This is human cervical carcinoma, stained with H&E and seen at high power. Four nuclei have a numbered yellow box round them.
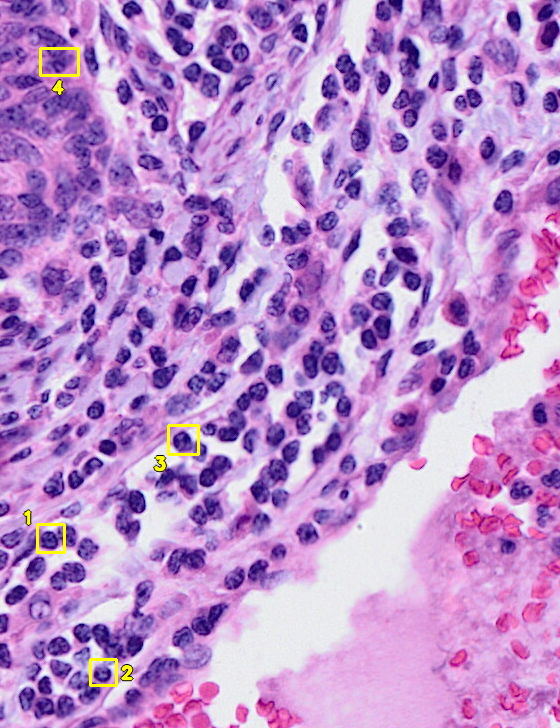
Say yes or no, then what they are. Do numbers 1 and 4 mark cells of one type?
No, cell 1 is a lymphocyte, whereas a squamous carcinoma cell is what cell 4 is.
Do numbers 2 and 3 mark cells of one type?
Yes, cells number 2 and number 3 are both lymphocytes.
